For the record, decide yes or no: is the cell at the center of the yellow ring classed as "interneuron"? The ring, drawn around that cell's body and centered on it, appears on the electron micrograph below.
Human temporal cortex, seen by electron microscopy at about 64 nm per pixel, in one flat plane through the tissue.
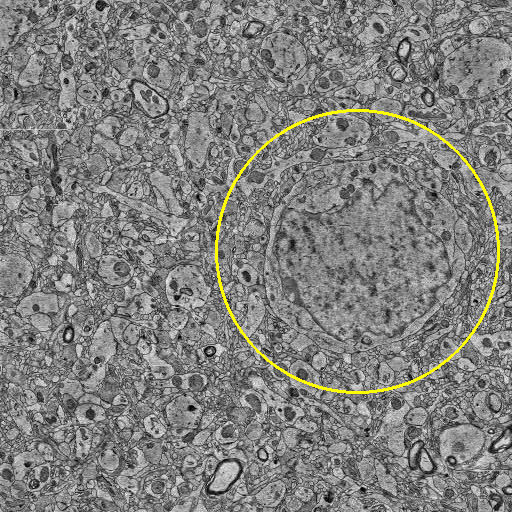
yes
